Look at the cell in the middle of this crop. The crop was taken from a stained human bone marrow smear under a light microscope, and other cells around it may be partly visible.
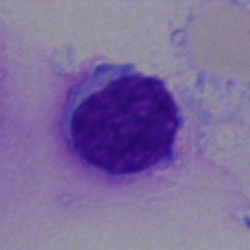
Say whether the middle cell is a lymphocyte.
yes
